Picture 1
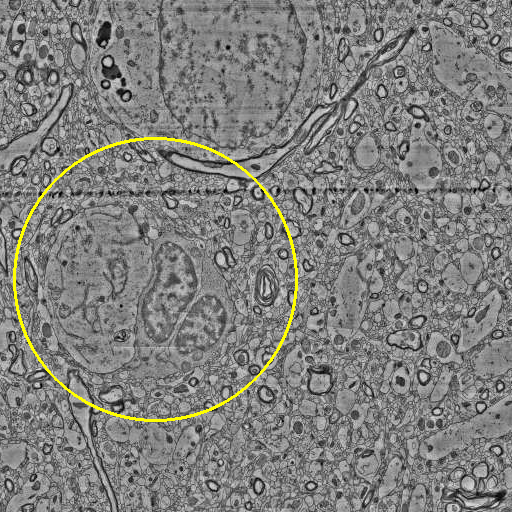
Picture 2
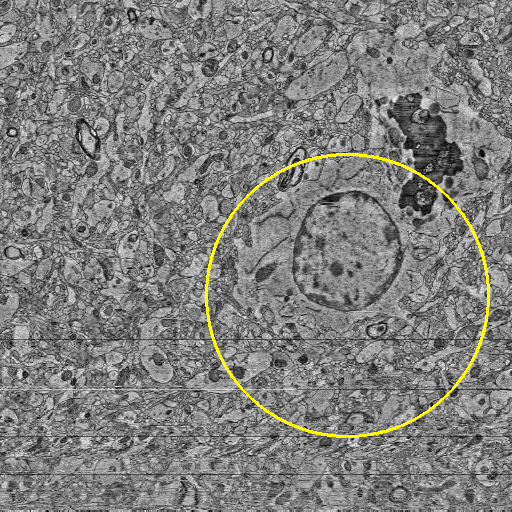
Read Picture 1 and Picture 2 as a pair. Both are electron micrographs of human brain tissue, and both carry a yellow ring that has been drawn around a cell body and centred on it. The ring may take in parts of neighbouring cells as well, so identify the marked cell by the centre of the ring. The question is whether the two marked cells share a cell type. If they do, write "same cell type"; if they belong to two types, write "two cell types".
two cell types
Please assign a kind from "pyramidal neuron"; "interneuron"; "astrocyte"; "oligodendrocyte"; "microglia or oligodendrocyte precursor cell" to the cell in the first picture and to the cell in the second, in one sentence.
In the first picture we have an oligodendrocyte, and in the second, an astrocyte.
